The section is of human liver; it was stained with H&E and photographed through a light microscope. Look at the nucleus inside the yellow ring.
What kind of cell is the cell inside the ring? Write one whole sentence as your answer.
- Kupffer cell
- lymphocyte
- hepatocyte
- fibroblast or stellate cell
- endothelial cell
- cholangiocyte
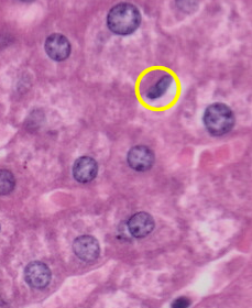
Within the stained tissue, the cell inside the ring is an endothelial cell.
